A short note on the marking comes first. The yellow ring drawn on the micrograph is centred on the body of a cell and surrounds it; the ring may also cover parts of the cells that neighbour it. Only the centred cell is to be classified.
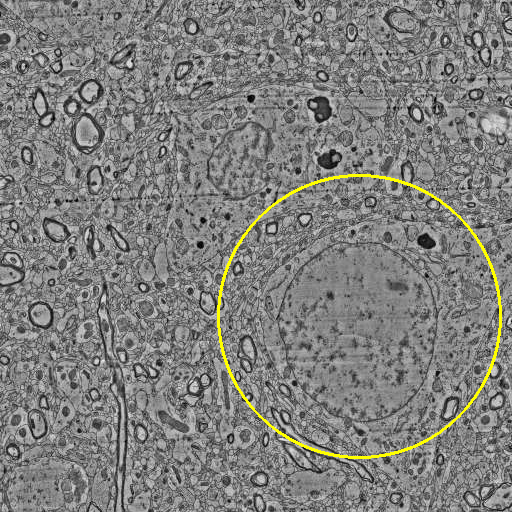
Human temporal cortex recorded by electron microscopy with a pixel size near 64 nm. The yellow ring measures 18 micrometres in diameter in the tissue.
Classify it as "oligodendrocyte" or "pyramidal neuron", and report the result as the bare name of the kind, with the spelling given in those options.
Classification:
pyramidal neuron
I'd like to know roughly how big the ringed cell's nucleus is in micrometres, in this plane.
Roughly 11 micrometres across for the nucleus, in this plane.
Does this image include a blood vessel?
No, none appears.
